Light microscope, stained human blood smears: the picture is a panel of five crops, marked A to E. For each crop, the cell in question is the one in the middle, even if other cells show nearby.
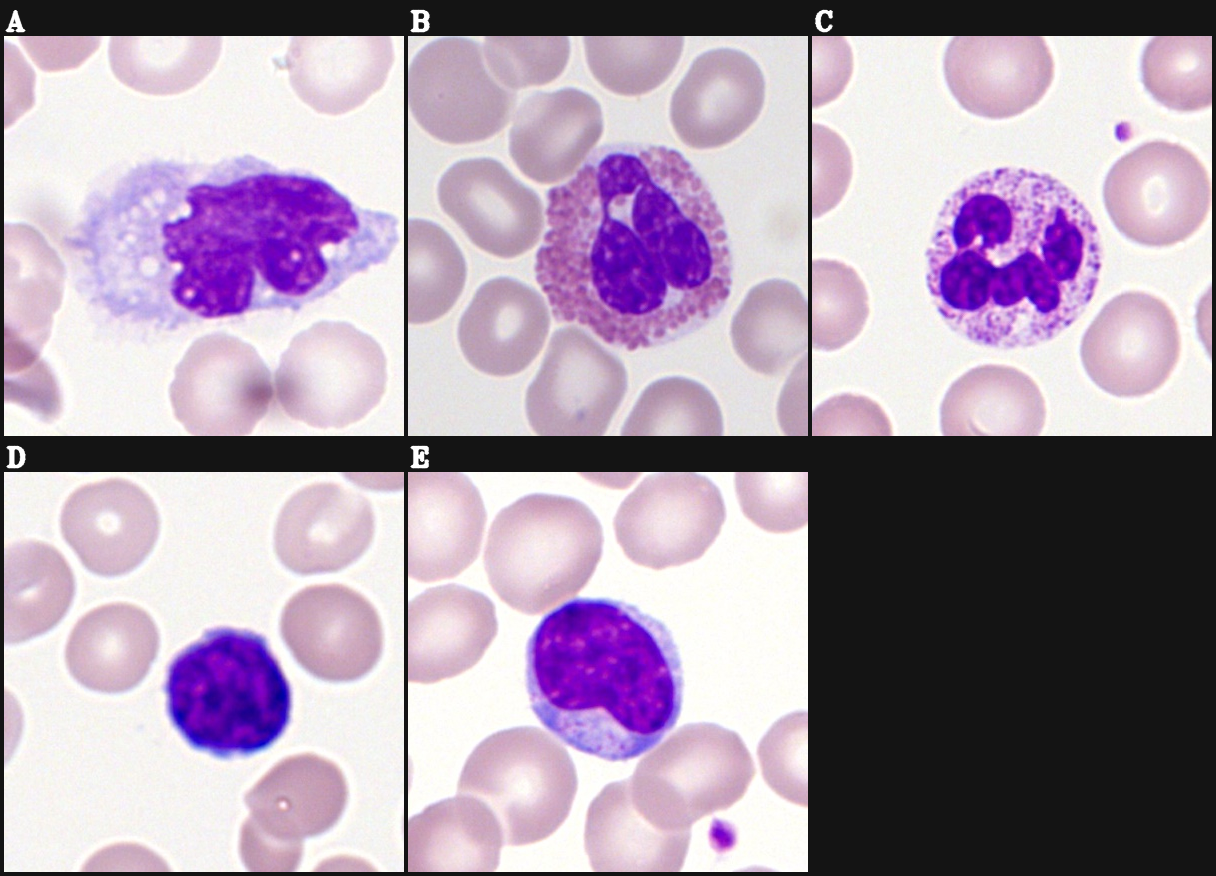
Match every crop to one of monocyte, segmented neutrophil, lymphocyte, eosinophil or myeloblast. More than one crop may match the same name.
A: monocyte
B: eosinophil
C: segmented neutrophil
D: lymphocyte
E: lymphocyte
